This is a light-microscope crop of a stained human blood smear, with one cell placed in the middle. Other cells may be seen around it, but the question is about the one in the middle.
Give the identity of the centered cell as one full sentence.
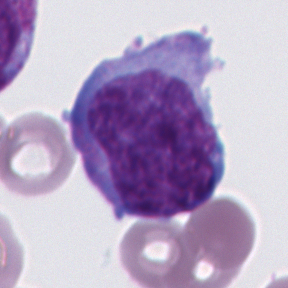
The cell centered in this field of view is an atypical promyelocyte.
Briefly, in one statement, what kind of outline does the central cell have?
The boundary of the cell runs irregularly, ragged in parts or drawn into projections.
